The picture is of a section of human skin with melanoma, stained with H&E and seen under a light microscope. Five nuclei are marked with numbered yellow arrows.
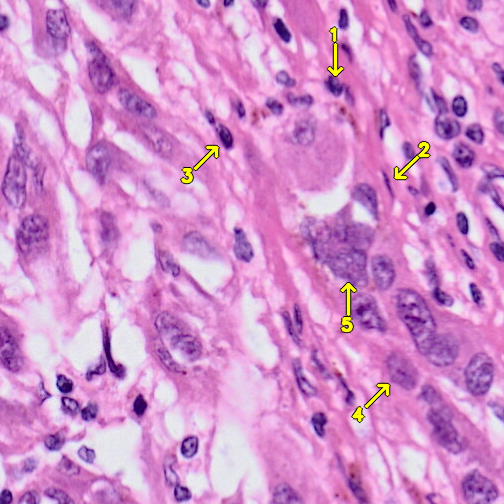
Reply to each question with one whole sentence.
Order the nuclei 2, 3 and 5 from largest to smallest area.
By area, largest first, they run 5, 3, 2.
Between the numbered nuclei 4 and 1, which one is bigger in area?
It is nucleus 4, which covers about 4 times the area of nucleus 1.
